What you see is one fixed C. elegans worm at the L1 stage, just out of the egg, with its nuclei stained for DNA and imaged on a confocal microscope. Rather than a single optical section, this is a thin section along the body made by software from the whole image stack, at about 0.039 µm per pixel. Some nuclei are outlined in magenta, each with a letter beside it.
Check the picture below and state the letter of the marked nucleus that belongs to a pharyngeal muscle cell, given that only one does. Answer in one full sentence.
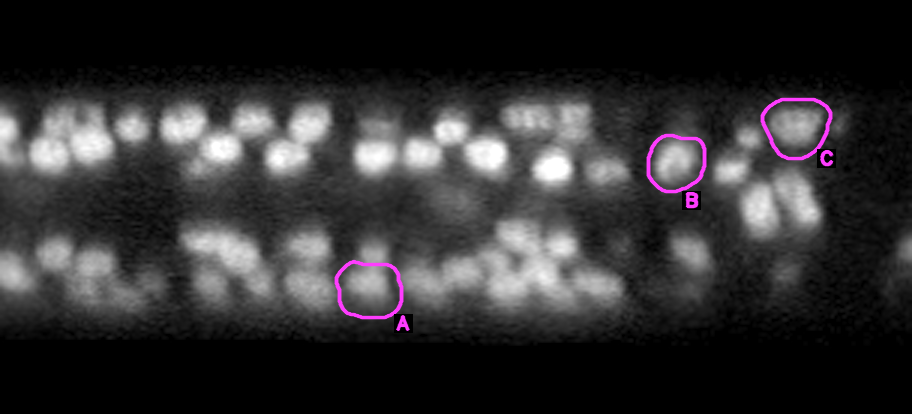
B is from a pharyngeal muscle cell.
